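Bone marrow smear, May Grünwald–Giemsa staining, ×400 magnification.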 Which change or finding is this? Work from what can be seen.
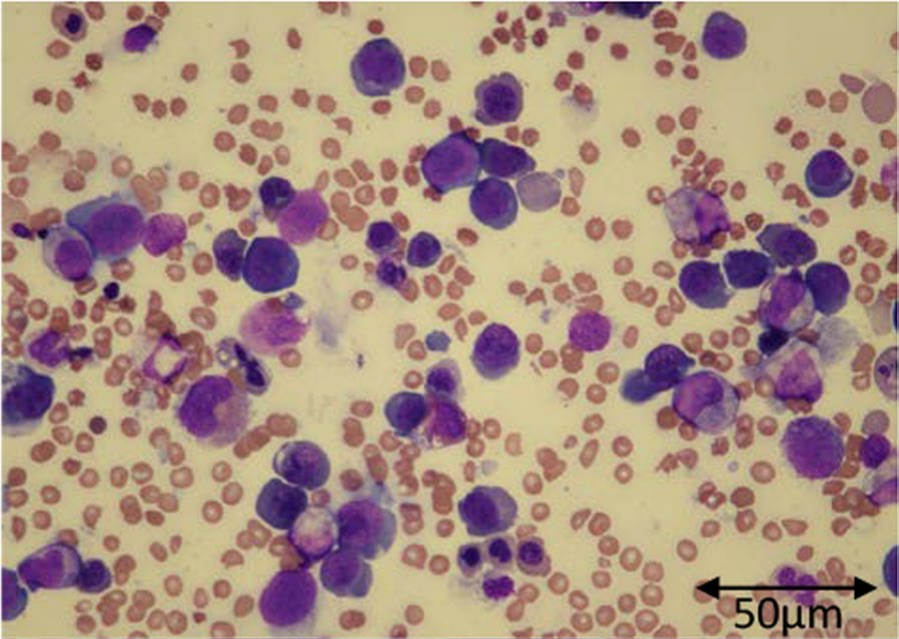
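Many nucleated cells with round nuclei and deep blue cytoplasm lie among the red cells. Few cells with granular pinkish cytoplasm are present compared with the blue-cytoplasm cells. So: Hyperplasia of erythrocyte series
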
